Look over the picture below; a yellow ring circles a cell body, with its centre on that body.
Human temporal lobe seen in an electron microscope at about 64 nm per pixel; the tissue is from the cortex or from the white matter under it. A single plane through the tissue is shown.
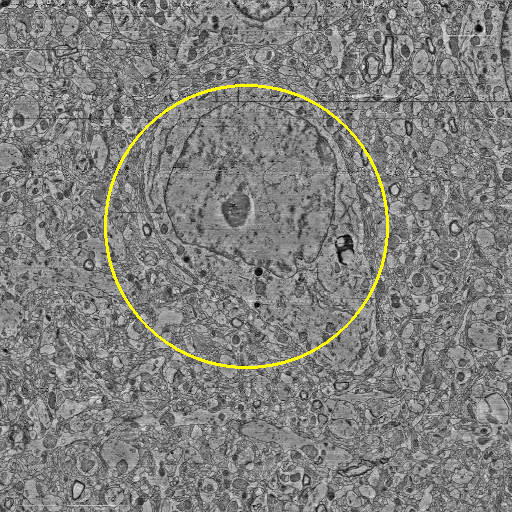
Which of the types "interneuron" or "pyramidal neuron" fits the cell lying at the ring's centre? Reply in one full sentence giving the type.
The picture shows a pyramidal neuron at the centre of the yellow ring.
